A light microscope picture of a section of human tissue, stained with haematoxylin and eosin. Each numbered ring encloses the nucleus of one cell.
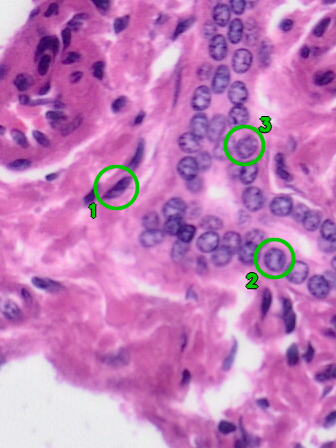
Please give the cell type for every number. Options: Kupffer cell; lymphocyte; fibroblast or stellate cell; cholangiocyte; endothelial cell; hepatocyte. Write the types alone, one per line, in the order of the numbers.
fibroblast or stellate cell
cholangiocyte
cholangiocyte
